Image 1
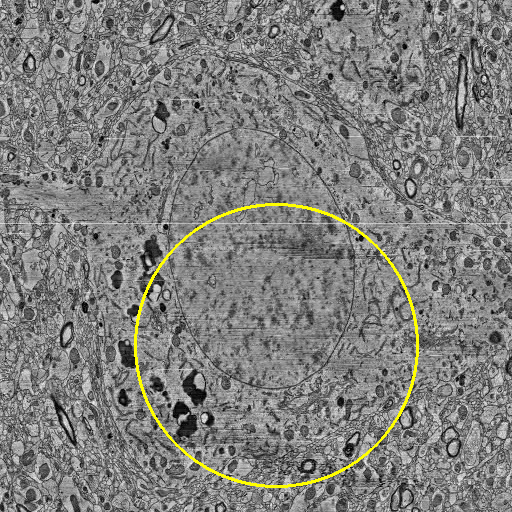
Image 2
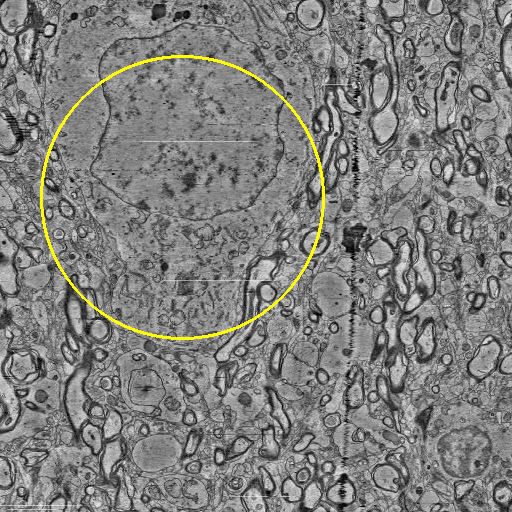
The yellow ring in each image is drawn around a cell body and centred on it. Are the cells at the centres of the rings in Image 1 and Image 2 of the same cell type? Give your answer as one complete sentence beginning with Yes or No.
Yes, both cells are of the same type.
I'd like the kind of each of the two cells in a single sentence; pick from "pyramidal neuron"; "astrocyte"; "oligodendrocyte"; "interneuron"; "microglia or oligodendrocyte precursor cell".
In the first picture and in the second, the ring is centred on a pyramidal neuron.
